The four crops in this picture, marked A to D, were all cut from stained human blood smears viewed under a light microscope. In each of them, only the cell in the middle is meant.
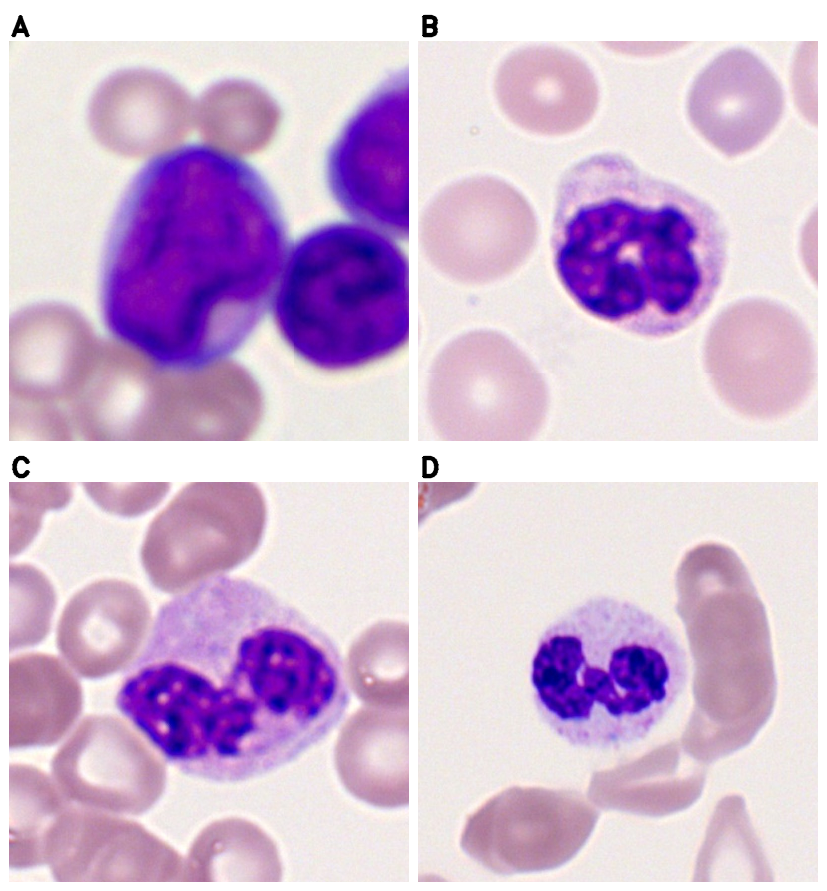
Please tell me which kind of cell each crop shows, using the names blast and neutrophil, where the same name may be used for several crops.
A: blast
B: neutrophil
C: neutrophil
D: neutrophil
